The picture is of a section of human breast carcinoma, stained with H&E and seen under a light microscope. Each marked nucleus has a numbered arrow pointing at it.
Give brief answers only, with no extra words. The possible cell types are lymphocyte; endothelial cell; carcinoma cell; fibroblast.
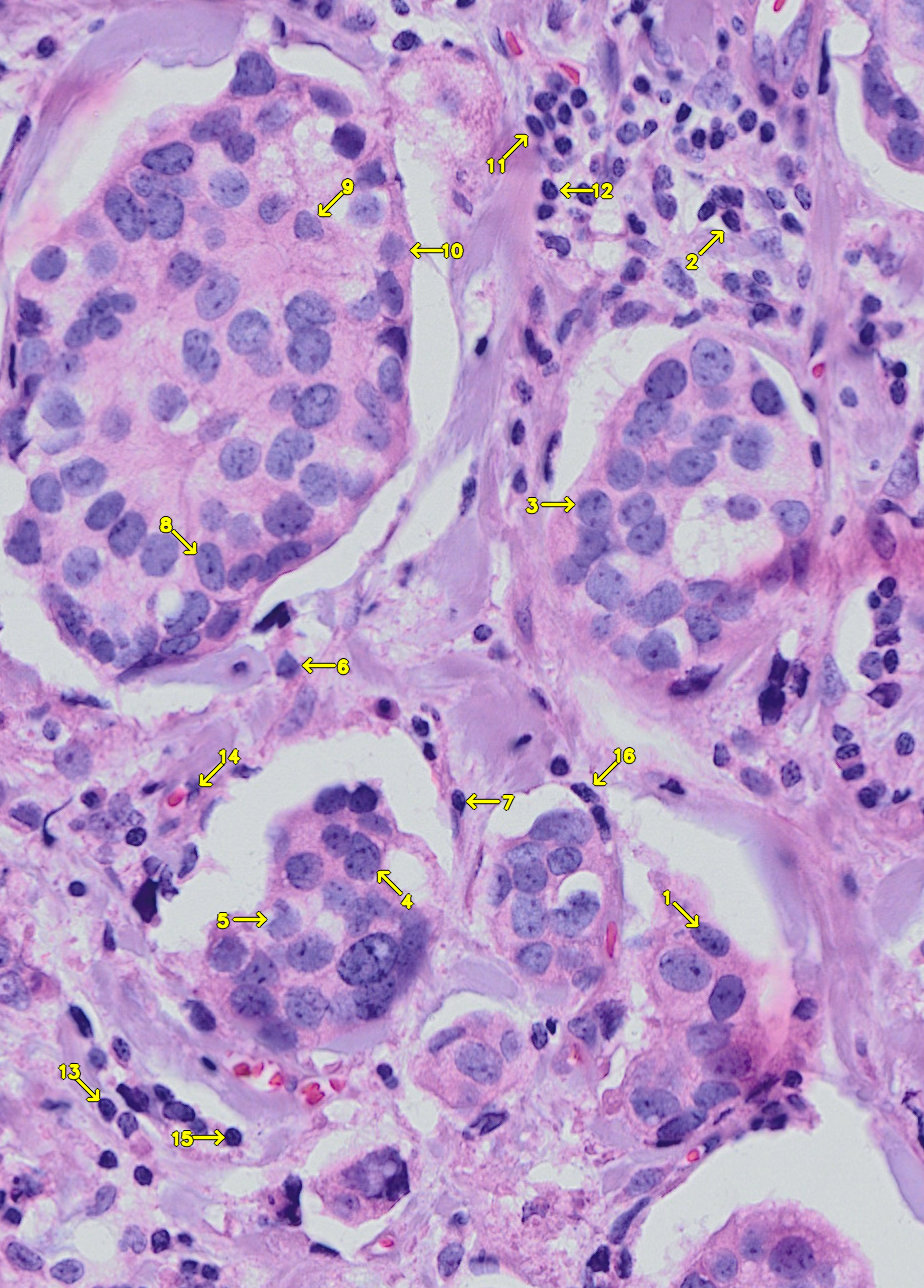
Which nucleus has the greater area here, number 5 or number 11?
5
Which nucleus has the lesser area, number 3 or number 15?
15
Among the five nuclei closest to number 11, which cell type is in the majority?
lymphocyte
